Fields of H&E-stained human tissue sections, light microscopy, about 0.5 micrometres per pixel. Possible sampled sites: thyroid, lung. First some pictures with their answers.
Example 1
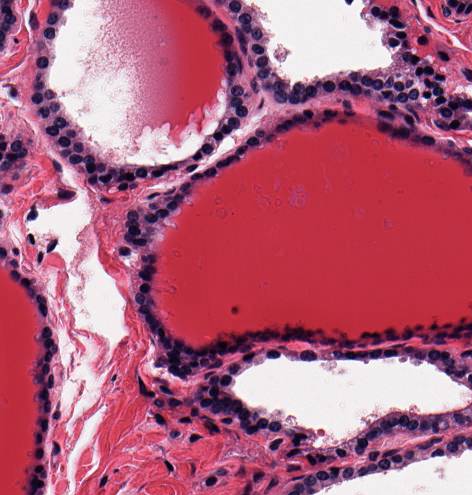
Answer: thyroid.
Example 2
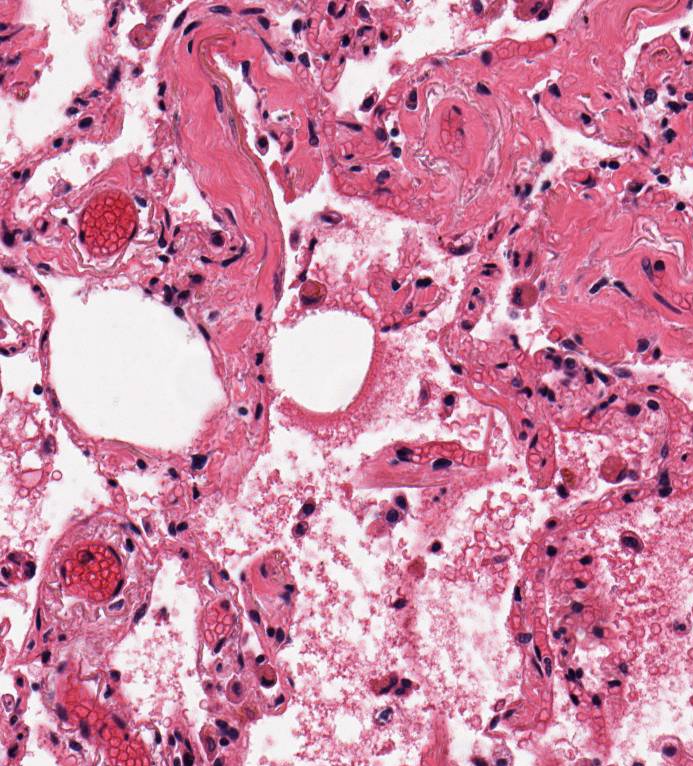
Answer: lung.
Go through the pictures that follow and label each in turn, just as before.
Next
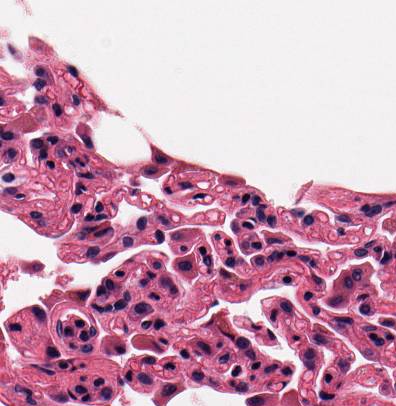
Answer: lung.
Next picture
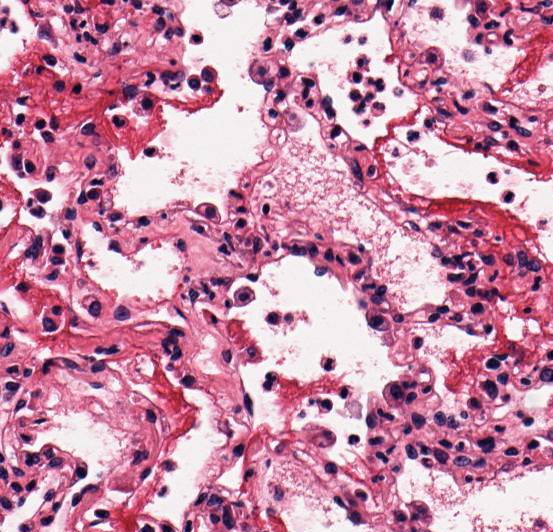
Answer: lung.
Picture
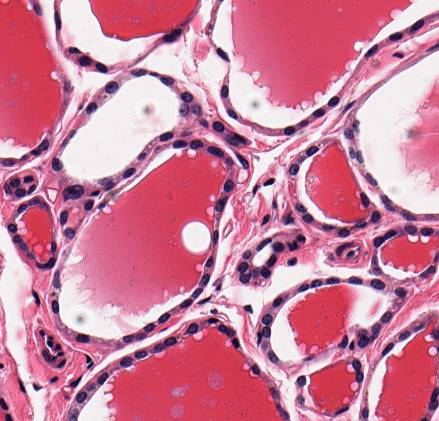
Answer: thyroid.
